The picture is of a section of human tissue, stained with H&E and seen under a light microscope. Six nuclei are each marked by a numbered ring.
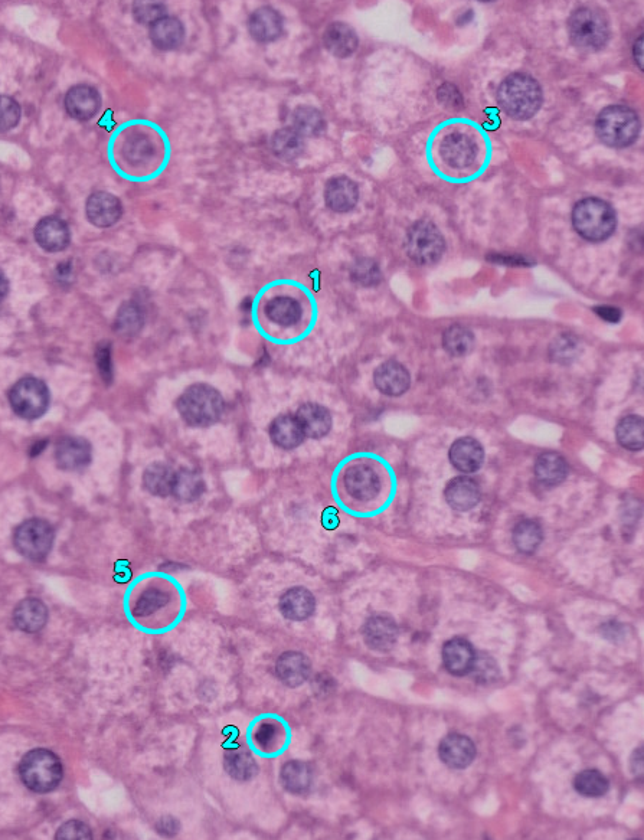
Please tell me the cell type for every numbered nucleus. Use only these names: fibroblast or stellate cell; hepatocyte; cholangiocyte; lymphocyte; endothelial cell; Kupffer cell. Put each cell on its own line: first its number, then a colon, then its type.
1: hepatocyte
2: fibroblast or stellate cell
3: hepatocyte
4: hepatocyte
5: Kupffer cell
6: hepatocyte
